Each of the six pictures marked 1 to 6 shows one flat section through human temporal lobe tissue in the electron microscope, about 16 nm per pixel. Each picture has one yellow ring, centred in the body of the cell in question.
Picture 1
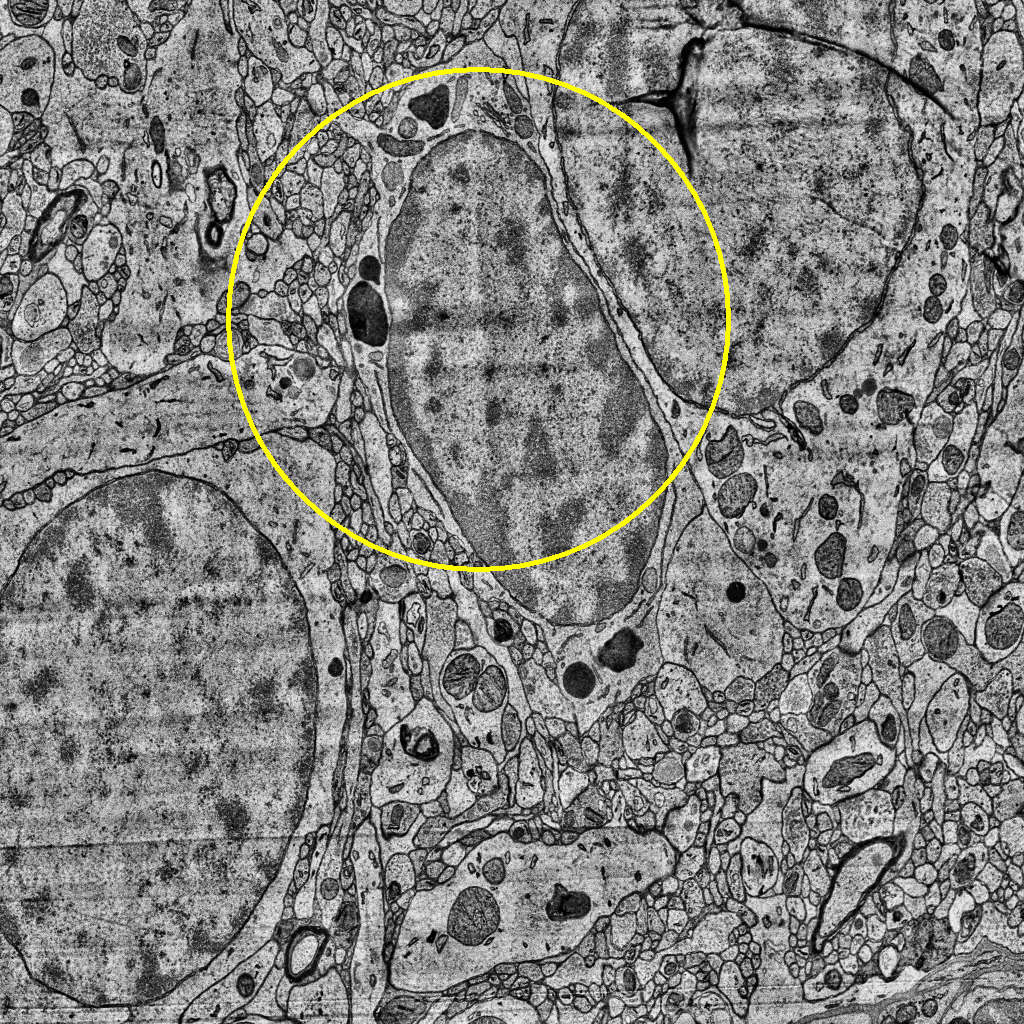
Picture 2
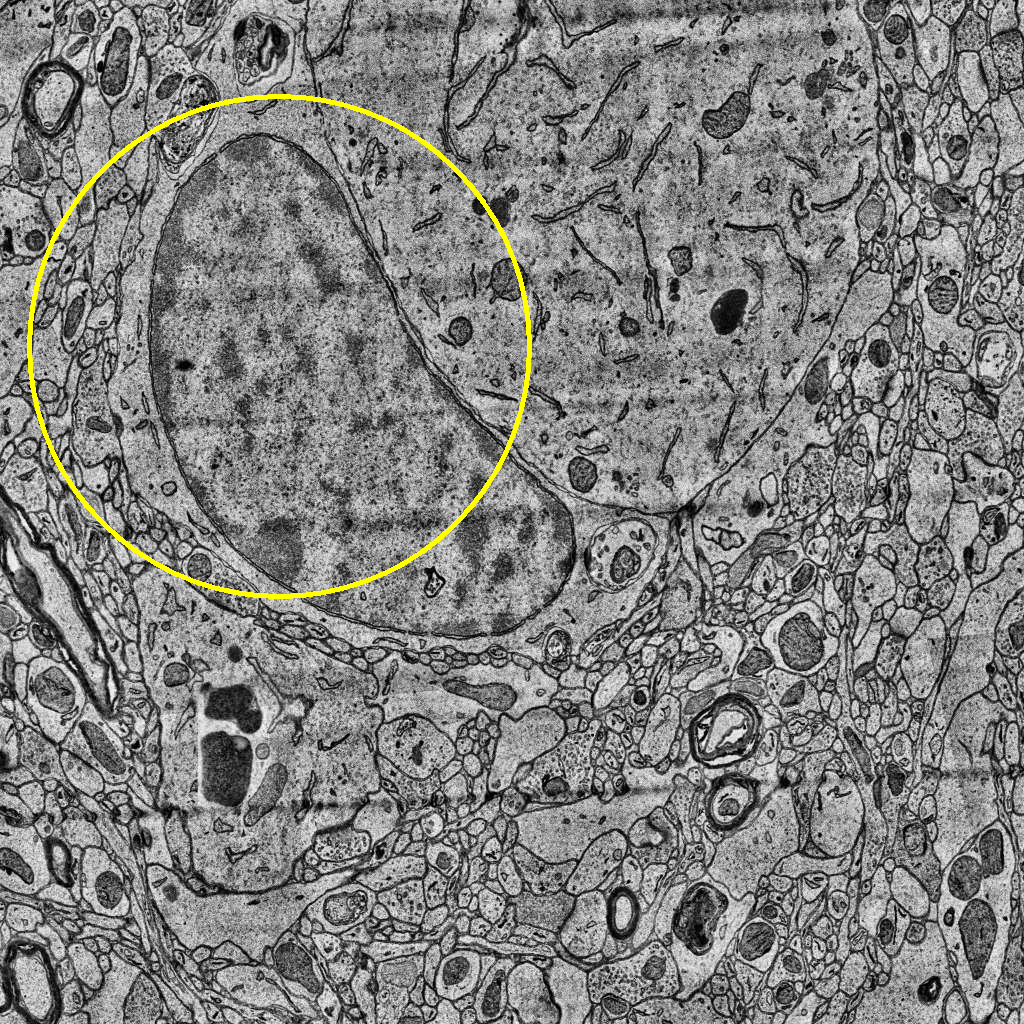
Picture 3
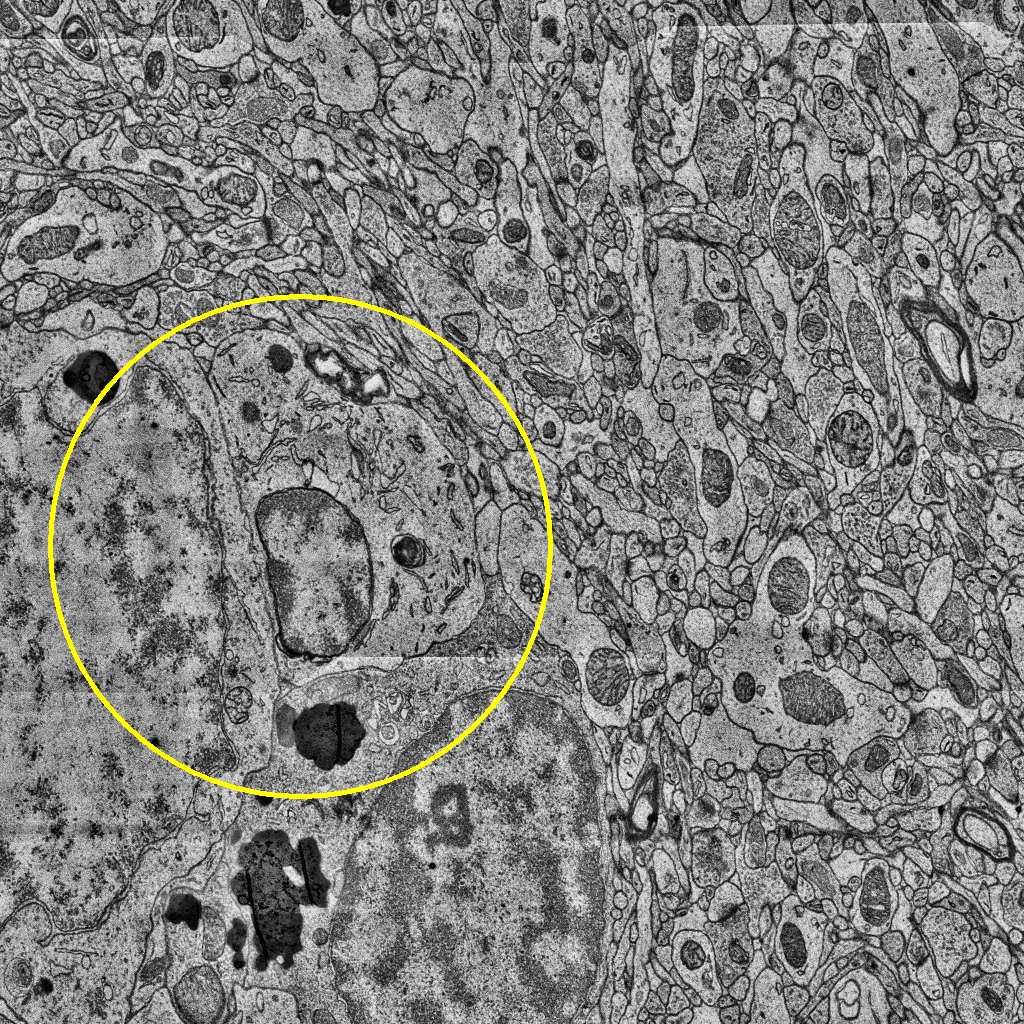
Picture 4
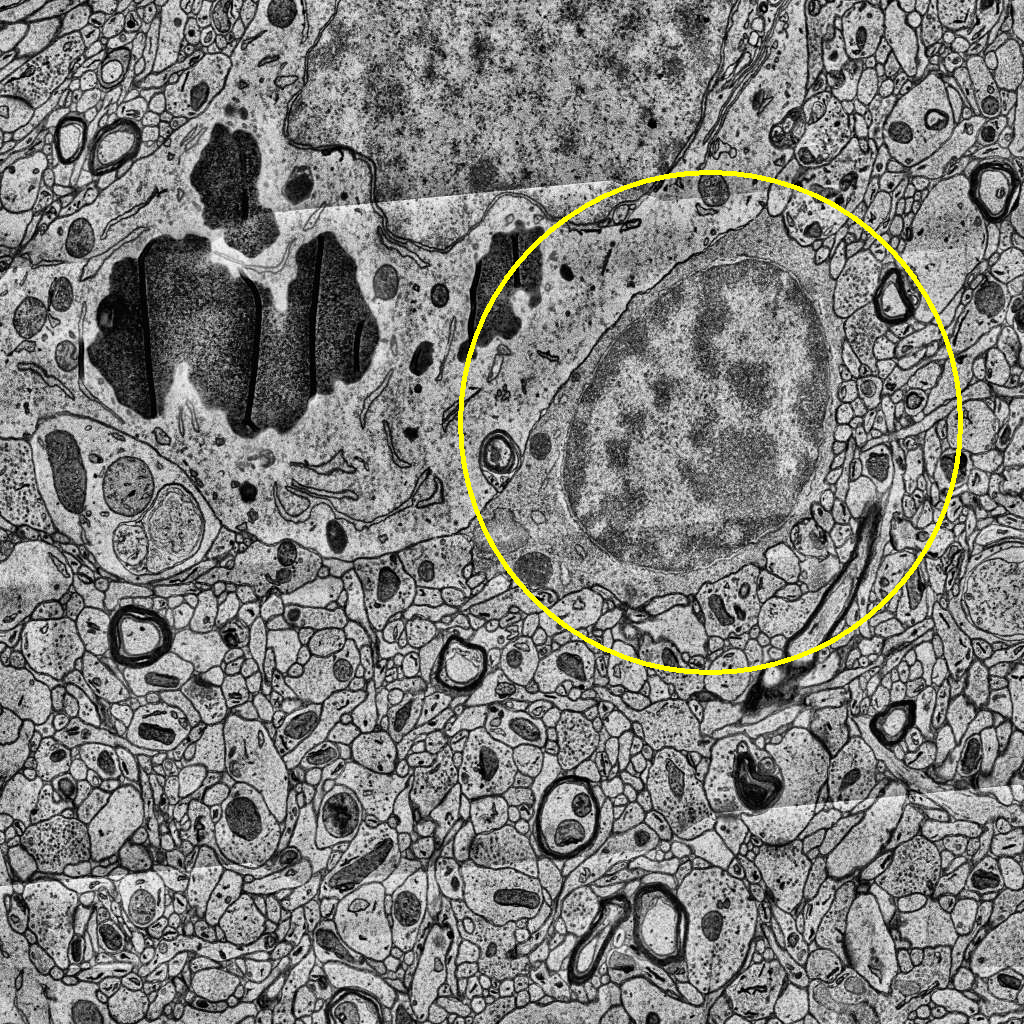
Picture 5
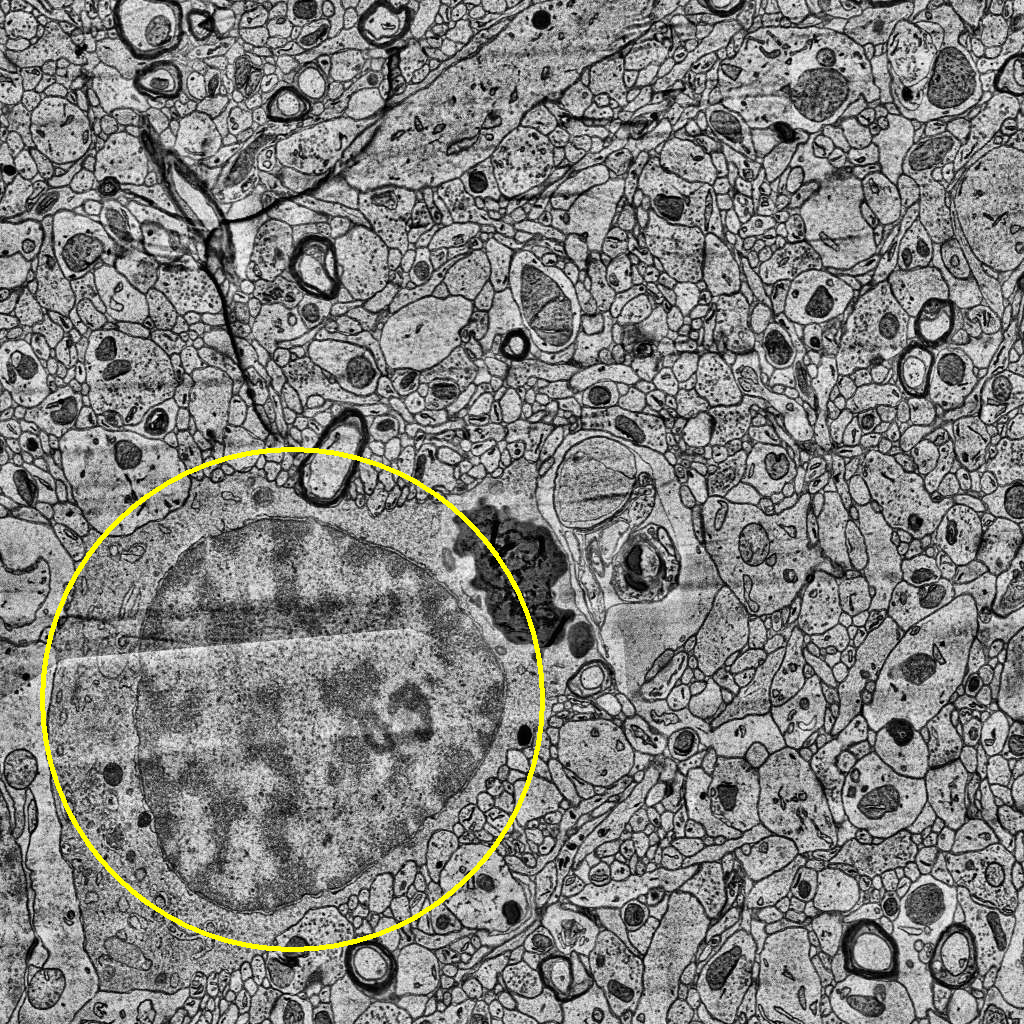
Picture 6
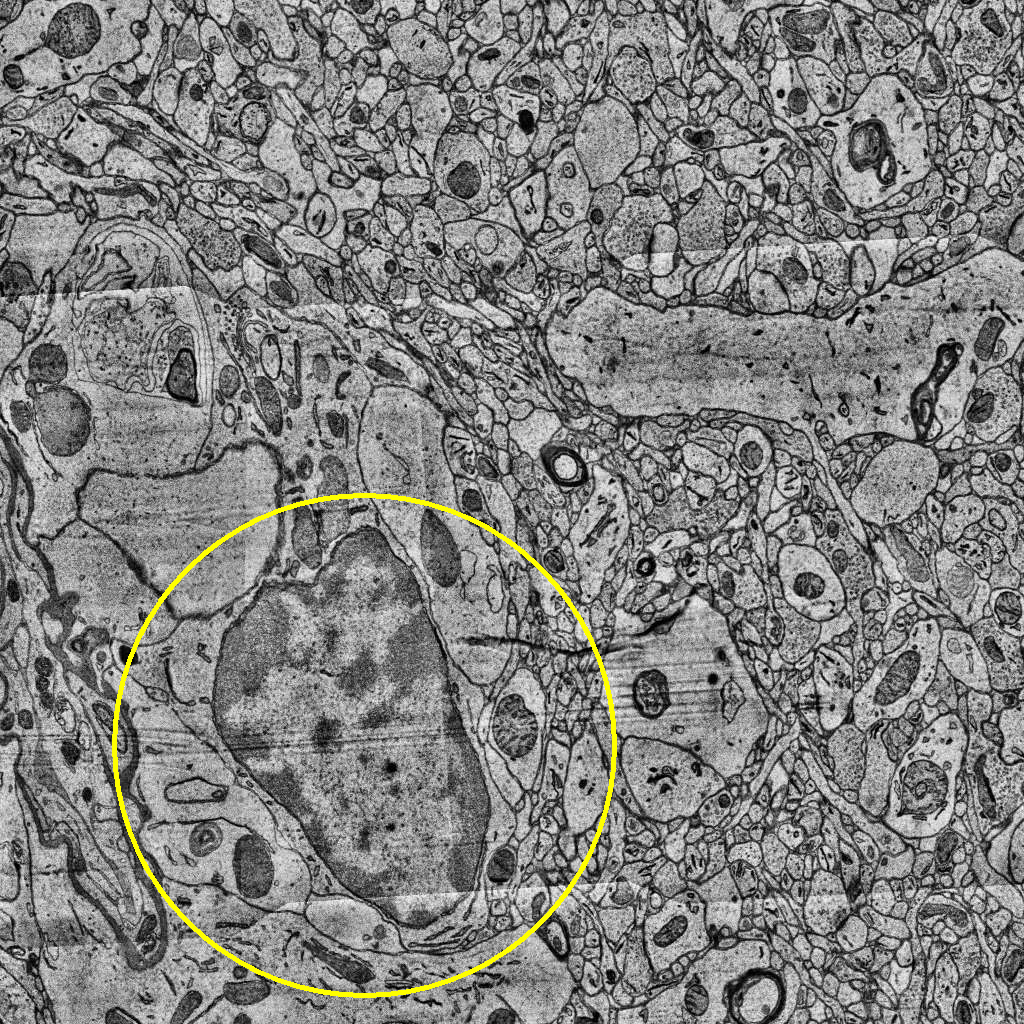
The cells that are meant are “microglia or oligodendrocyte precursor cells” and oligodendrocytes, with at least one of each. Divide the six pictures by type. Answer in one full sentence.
Pictures 1, 2, 3 and 6 show “microglia or oligodendrocyte precursor cells”, and pictures 4 and 5 show oligodendrocytes.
